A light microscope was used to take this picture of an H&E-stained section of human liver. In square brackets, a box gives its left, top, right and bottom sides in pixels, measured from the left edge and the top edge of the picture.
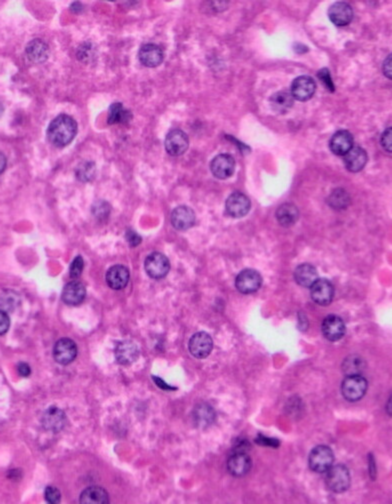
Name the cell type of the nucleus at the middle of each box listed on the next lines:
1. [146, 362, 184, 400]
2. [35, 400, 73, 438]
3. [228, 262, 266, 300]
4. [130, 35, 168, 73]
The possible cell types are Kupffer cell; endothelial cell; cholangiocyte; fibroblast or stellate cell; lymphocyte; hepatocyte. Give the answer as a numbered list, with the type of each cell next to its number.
1. endothelial cell
2. hepatocyte
3. hepatocyte
4. hepatocyte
